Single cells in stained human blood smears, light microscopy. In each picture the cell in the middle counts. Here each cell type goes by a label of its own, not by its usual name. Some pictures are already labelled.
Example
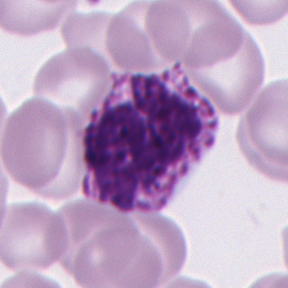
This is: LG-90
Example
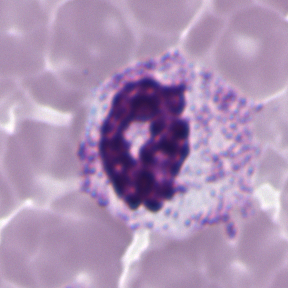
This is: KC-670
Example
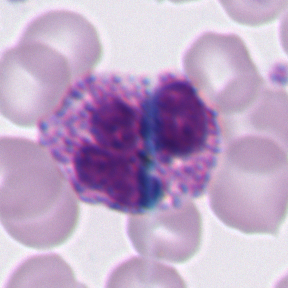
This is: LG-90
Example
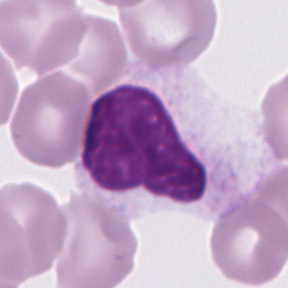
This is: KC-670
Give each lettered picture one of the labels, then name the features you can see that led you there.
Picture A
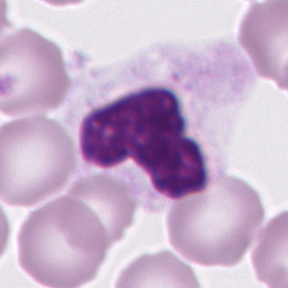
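KC-670. Evidence: The cytoplasm is abundant and is widest above and to the right of the nucleus.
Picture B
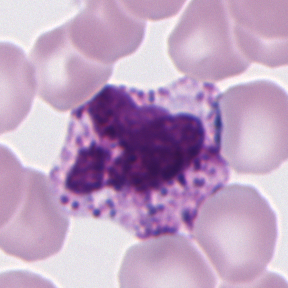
LG-90. Evidence: The granules are coarse and unevenly scattered.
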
